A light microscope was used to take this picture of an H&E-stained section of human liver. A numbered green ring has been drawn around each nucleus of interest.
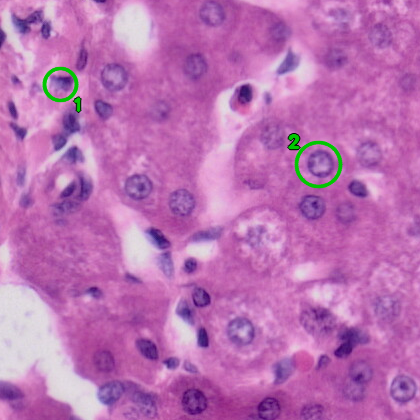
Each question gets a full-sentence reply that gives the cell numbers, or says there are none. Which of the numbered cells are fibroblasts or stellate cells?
Among all the marked cells, a fibroblast or stellate cell is found only at number 1.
